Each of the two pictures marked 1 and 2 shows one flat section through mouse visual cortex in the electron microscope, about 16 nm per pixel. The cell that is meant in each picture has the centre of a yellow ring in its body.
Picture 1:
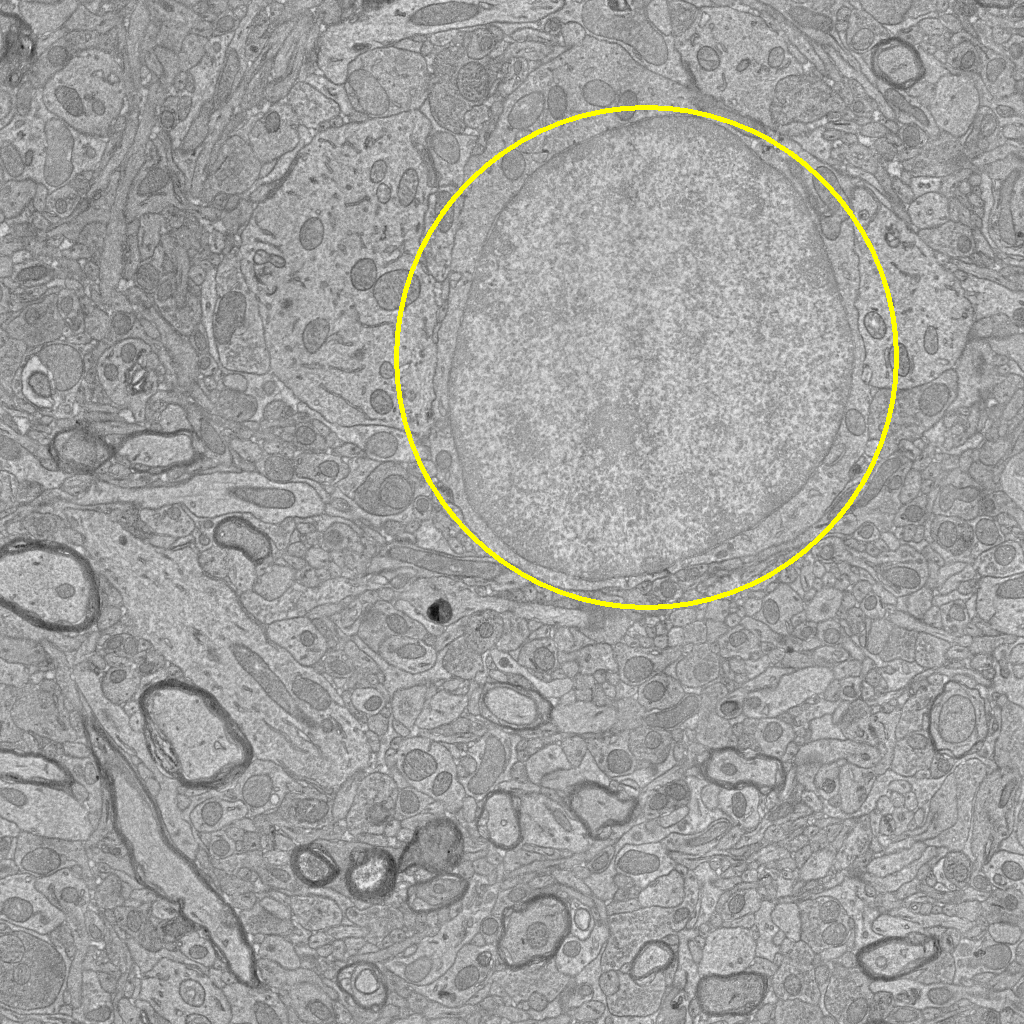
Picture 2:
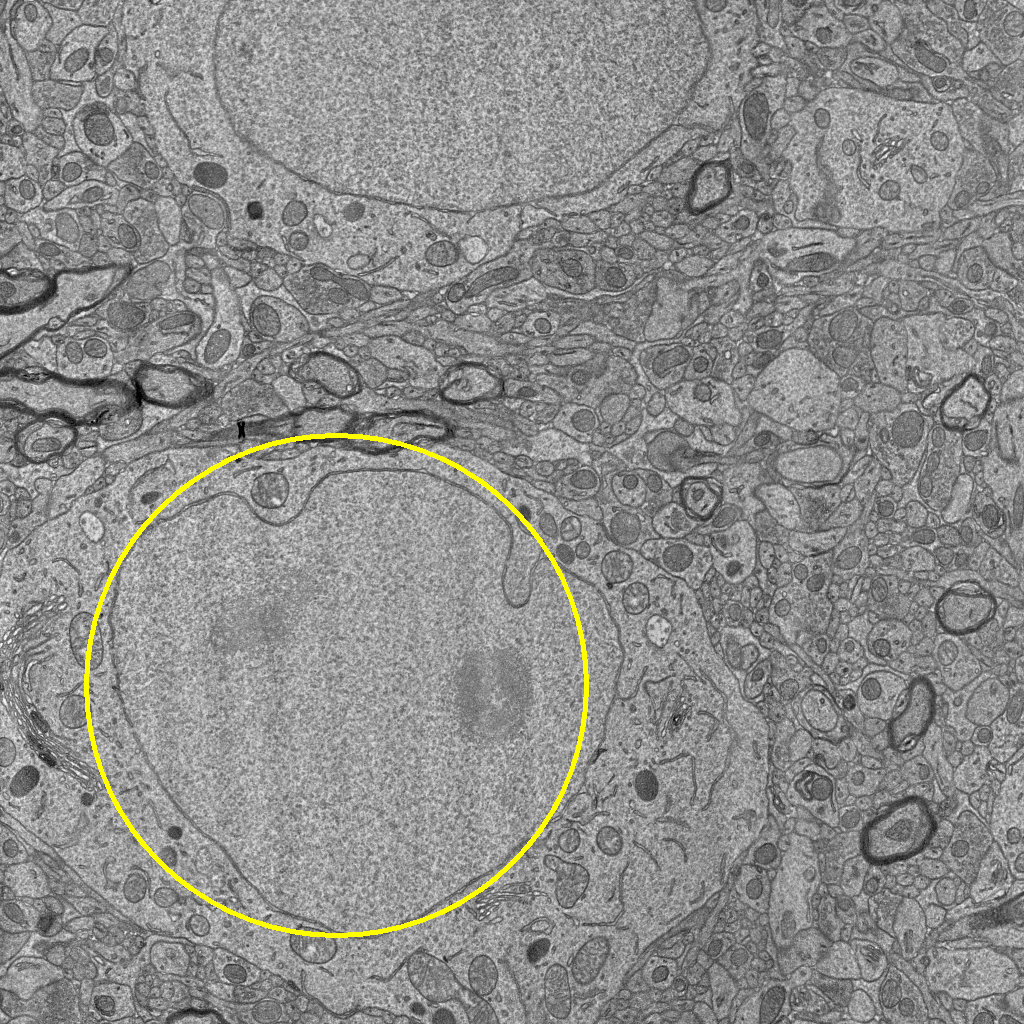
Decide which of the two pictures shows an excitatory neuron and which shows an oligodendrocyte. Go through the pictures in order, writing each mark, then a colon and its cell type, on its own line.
1: oligodendrocyte
2: excitatory neuron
